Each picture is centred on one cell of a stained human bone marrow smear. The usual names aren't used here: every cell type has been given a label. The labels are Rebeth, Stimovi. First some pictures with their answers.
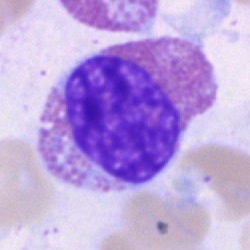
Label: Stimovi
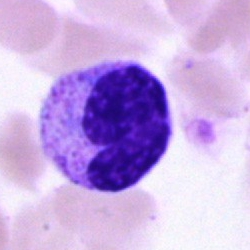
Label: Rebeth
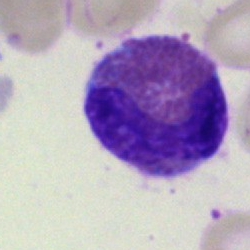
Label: Stimovi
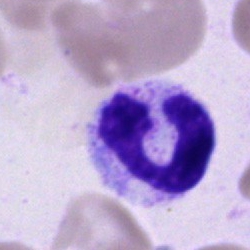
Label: Rebeth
